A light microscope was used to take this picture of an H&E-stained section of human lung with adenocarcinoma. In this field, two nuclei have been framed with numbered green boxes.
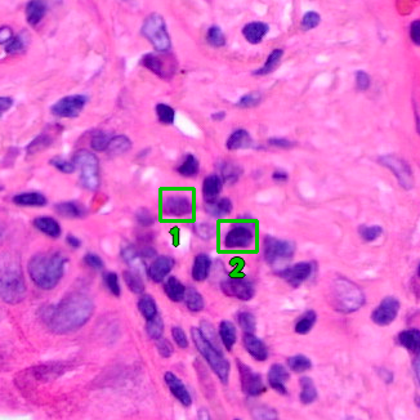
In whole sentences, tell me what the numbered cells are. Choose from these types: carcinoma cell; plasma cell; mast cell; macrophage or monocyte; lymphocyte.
Cell 1 is a plasma cell and cell 2 is a lymphocyte.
